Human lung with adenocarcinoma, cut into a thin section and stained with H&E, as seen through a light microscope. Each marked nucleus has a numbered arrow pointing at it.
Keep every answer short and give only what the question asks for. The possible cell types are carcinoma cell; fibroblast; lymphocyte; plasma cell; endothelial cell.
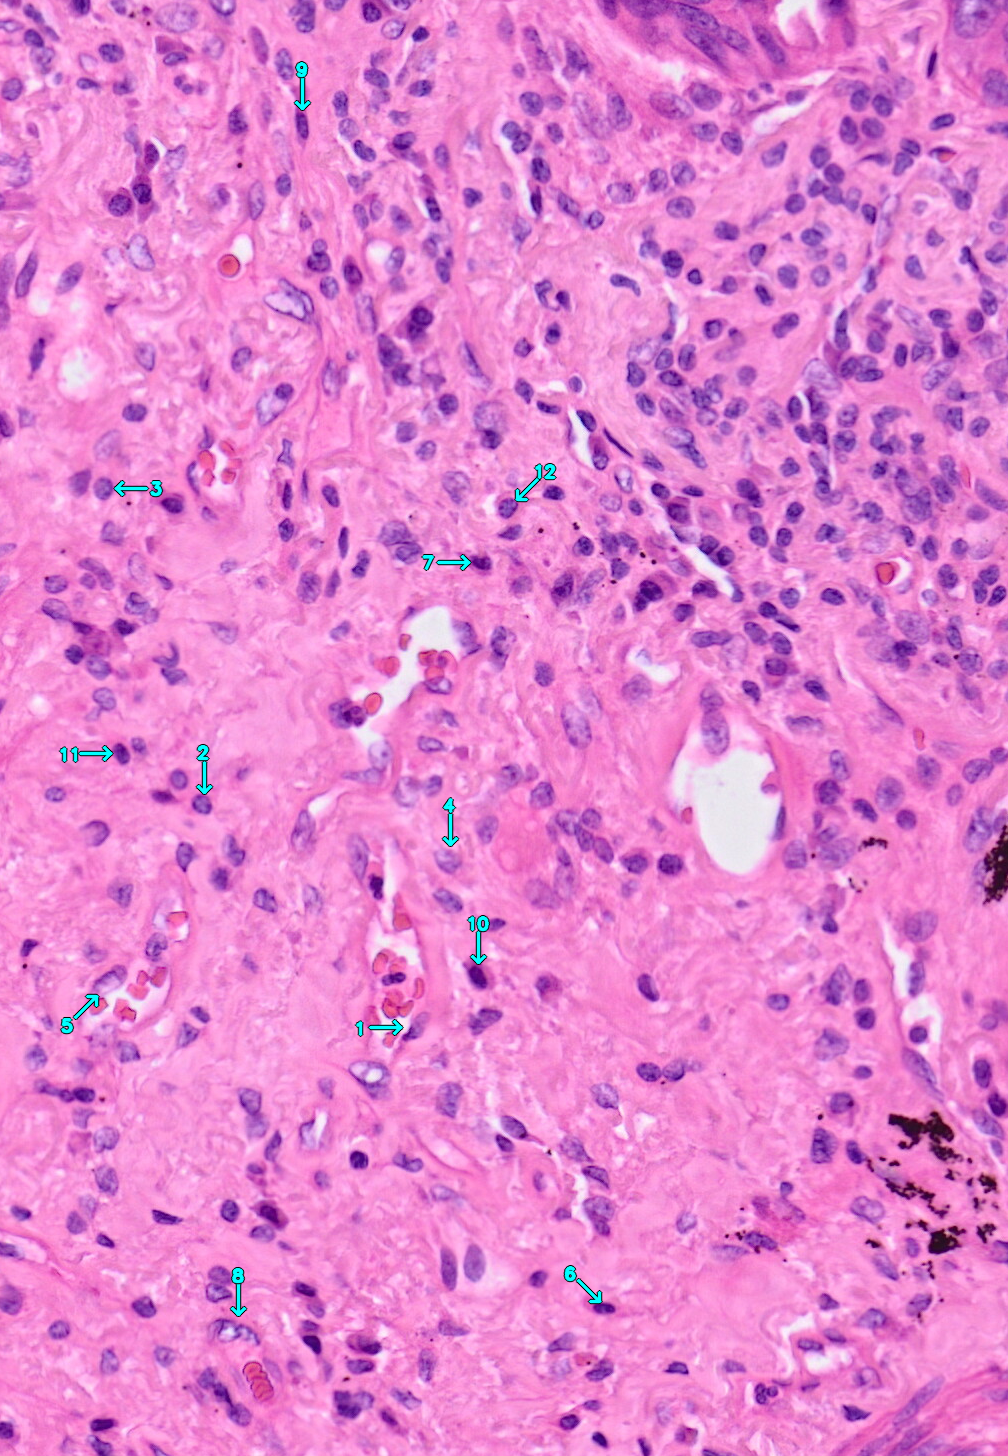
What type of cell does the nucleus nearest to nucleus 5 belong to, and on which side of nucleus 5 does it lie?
a fibroblast; above and to the left of nucleus 5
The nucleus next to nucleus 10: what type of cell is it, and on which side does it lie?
a fibroblast; below nucleus 10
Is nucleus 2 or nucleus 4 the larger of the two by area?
4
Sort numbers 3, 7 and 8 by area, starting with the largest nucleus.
8, 3, 7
